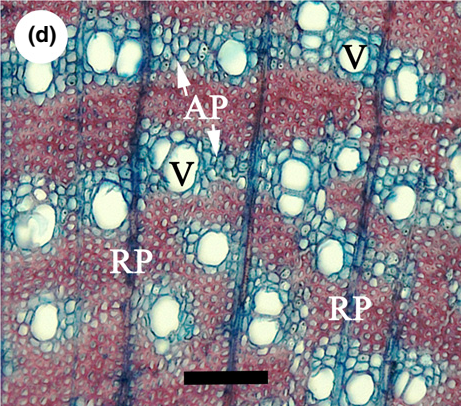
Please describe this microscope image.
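This cross section of hardwood shows large rounded vessels set in a red-stained mass of small thick-walled fibres. Around each vessel lies a sheath of larger, thin-walled cells stained blue, which spreads sideways and often links neighbouring vessels into wavy tangential bands. Narrow rays of blue cells run vertically through the field. The contrast of blue parenchyma and red fibres makes the banded pattern easy to see.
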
